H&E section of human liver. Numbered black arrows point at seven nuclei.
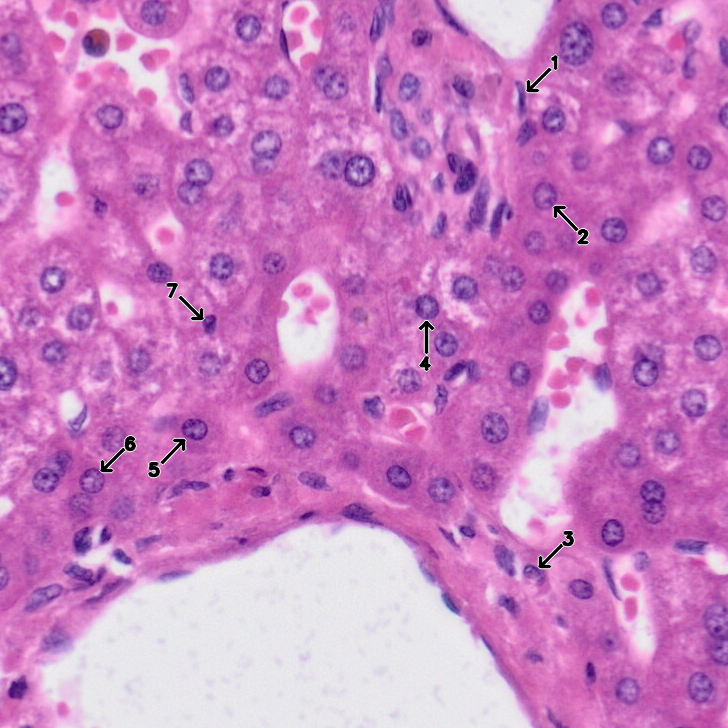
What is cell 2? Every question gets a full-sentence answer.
The marked nucleus 2 is that of a hepatocyte.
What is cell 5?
The cell to which the number 5 is assigned is a hepatocyte.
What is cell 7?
The cell that bears the number 7 is a fibroblast or stellate cell.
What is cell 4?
It is as a hepatocyte that the cell numbered 4 is identified.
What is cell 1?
Classified as a fibroblast or stellate cell is the cell with the number 1.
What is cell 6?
The cell identified by number 6 is a hepatocyte.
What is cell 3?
In the tissue shown, cell 3 is a fibroblast or stellate cell.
